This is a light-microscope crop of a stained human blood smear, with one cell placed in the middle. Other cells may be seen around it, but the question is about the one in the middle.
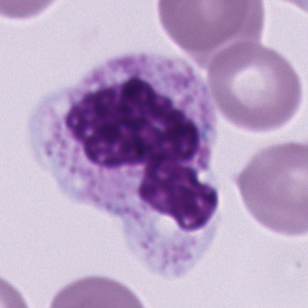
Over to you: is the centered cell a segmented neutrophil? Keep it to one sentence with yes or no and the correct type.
Yes, shown in the middle of the crop is a segmented neutrophil.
